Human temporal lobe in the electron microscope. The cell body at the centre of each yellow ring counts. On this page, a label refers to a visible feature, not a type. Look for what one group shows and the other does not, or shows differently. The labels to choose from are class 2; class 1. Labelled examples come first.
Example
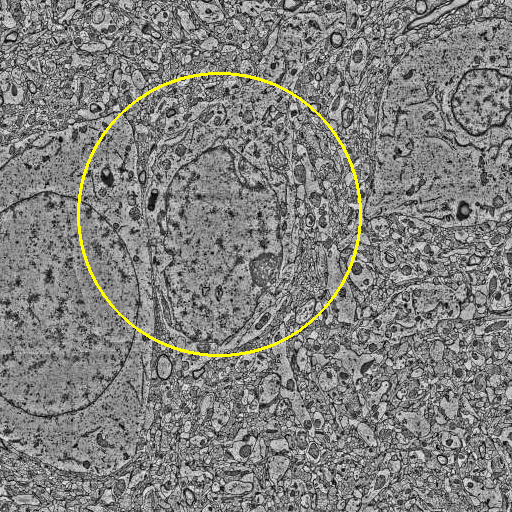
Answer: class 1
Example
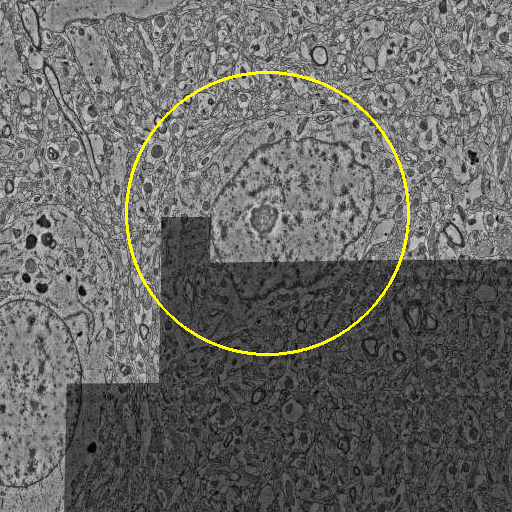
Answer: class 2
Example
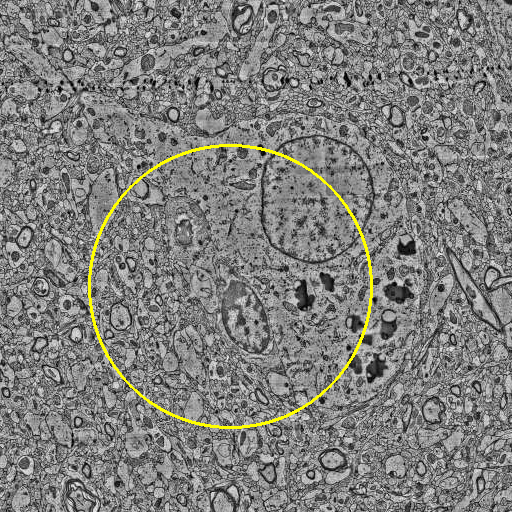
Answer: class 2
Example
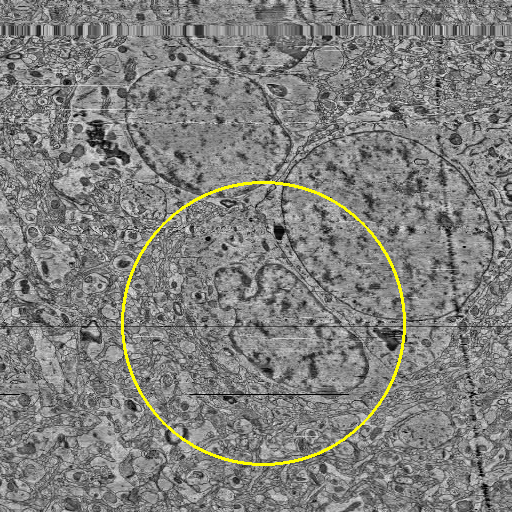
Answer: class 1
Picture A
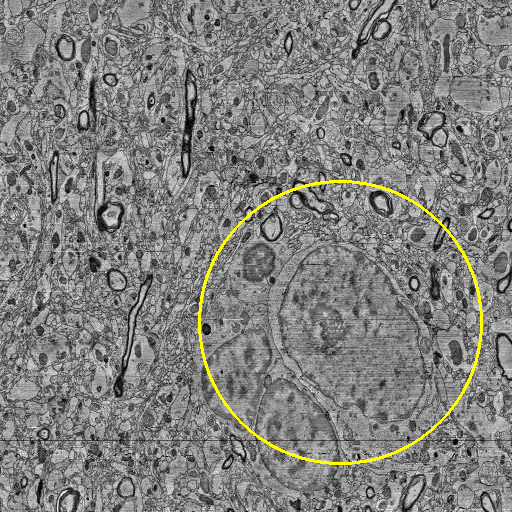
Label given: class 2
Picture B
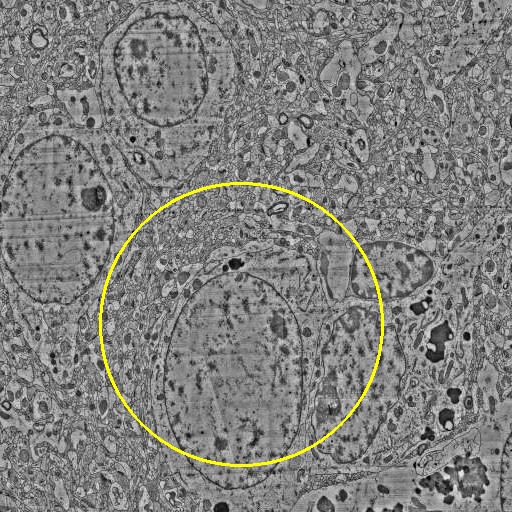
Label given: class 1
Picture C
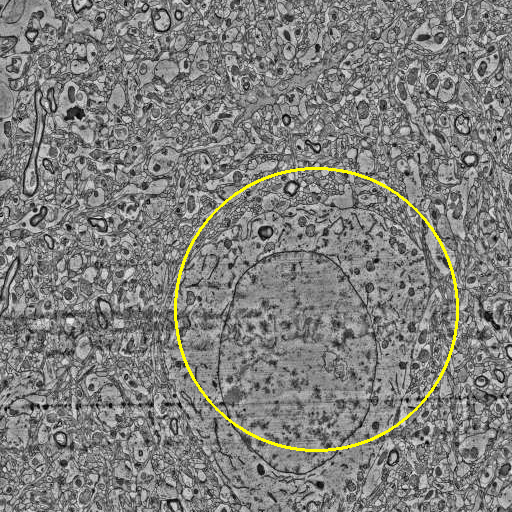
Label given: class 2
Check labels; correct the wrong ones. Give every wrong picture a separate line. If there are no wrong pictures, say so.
B is labelled class 1; correct label: class 2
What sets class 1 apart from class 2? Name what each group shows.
In class 1: deeply folded or indented nuclear envelopes. In class 2: smooth nuclear envelopes without deep folds.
